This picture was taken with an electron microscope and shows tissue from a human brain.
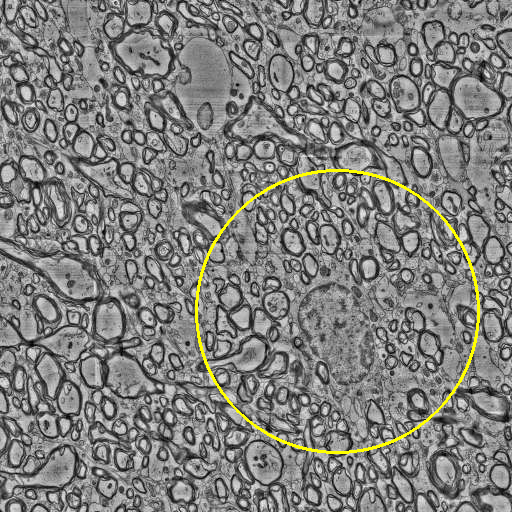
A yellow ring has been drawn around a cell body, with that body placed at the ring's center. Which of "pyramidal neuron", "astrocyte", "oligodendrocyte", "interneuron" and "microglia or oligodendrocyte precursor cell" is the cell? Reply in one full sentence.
In this picture, an oligodendrocyte is the cell at the center of the yellow ring.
